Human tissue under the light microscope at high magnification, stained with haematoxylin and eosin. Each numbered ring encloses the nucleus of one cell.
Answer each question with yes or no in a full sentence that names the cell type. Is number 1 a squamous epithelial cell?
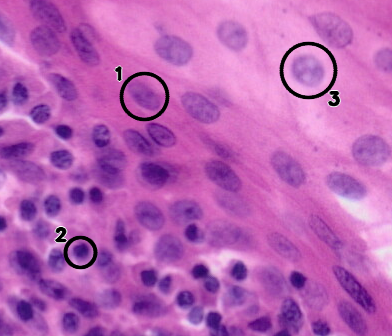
Yes, the cell that has number 1 is a squamous epithelial cell.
